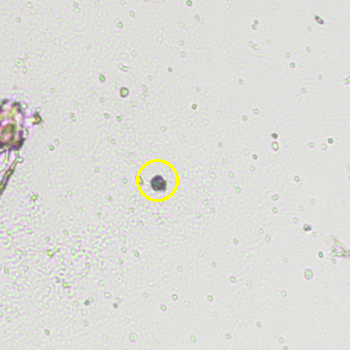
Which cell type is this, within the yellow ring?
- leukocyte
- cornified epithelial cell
Within the ring is a leukocyte.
